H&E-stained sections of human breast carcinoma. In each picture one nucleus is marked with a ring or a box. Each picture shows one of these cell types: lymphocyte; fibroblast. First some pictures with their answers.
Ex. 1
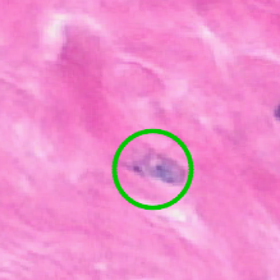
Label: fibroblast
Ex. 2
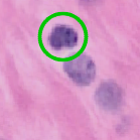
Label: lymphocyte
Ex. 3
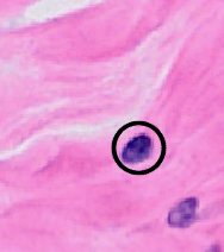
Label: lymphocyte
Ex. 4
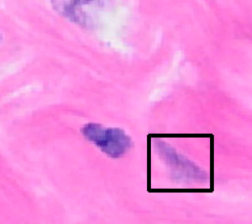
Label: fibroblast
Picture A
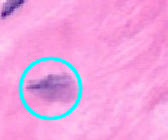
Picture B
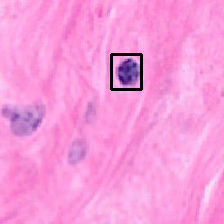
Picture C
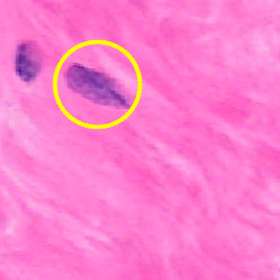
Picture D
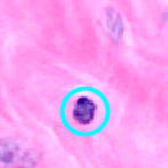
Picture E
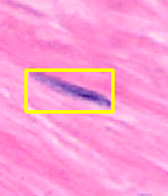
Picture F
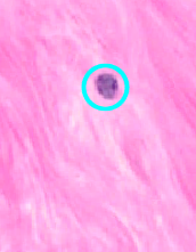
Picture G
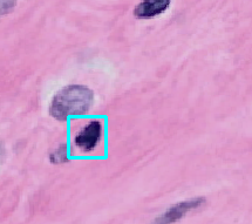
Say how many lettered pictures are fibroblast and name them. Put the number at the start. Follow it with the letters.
3, namely A, C, E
